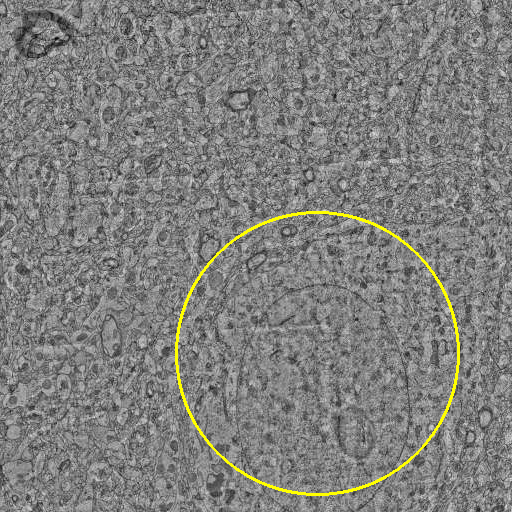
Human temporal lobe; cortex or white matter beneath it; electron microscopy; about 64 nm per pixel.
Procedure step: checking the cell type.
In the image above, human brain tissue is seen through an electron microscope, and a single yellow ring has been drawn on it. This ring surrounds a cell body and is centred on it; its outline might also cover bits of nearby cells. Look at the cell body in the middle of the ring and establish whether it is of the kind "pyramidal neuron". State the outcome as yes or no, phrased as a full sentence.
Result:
Yes, the cell body at the ring's centre in the image is of the kind in question.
